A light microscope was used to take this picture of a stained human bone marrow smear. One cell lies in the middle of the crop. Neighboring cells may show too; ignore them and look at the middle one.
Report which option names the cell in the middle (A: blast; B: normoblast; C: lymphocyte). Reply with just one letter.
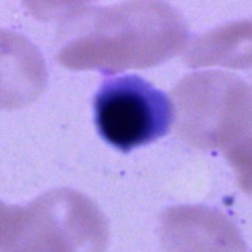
B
